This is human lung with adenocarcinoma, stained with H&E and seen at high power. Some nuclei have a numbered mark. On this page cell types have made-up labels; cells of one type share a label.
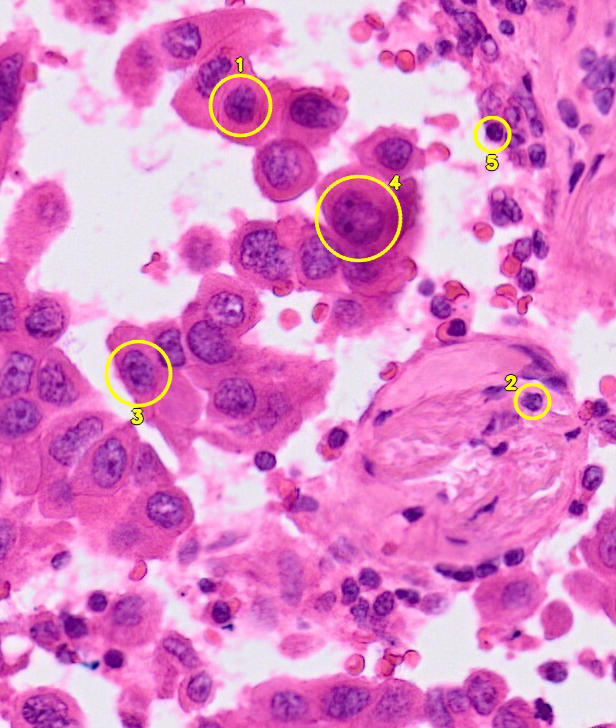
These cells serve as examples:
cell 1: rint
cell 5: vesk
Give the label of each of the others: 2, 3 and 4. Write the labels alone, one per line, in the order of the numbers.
vesk
rint
rint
